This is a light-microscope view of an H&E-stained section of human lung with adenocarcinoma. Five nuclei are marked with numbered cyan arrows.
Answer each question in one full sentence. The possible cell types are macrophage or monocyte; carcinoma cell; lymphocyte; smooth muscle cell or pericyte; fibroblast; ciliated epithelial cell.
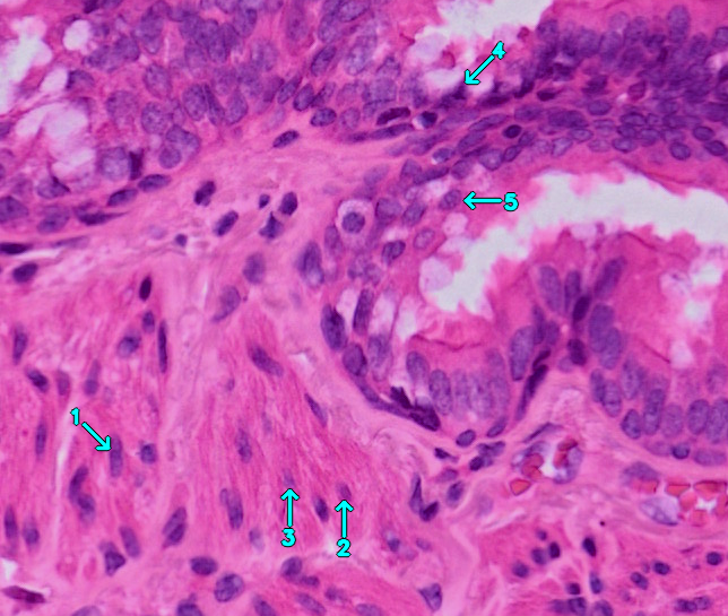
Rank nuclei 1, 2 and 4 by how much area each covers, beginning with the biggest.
Going from the biggest nucleus down to the smallest gives 4, 1, 2.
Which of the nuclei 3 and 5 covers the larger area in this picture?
Nucleus 5 covers more area, about 2 times as much as nucleus 3.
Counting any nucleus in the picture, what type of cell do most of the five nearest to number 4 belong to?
Ciliated epithelial cells account for more than half of the five nuclei nearest to number 4.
